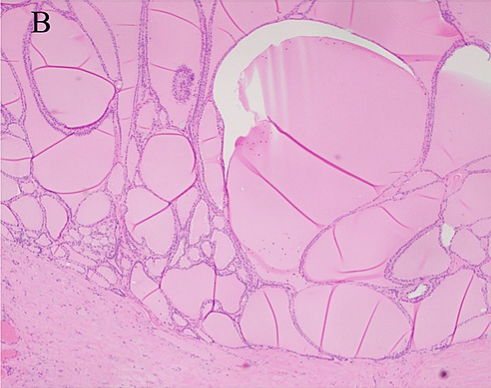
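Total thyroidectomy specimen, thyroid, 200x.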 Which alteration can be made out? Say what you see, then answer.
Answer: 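Many follicles of very unequal size, several greatly dilated. Follicles are filled with pink colloid and lined by flat epithelium. A band of fibrous tissue borders the follicles at the lower left.
Nodular hyperplasia.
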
